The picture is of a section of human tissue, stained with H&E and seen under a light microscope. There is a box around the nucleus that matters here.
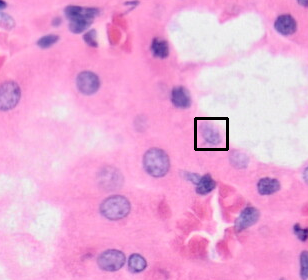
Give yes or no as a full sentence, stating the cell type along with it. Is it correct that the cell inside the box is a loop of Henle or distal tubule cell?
Yes, the statement that the cell inside the box is a loop of Henle or distal tubule cell is correct.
